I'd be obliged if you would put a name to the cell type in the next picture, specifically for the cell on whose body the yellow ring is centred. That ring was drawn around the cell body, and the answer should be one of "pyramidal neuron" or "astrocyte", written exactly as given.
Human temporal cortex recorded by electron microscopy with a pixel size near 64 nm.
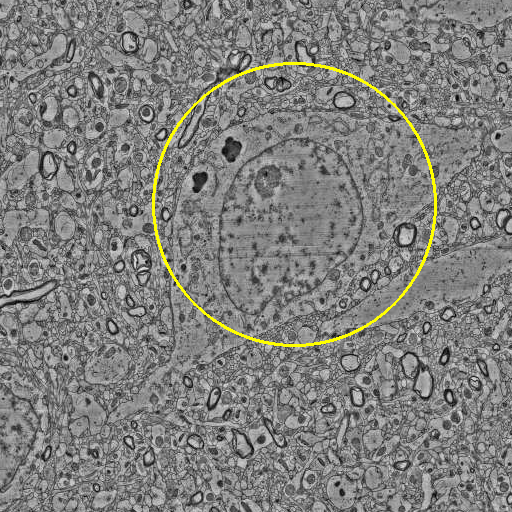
pyramidal neuron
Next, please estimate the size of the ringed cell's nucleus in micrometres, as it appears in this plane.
In this plane, about 12 micrometres in length and 9 in width.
